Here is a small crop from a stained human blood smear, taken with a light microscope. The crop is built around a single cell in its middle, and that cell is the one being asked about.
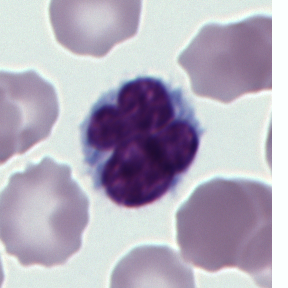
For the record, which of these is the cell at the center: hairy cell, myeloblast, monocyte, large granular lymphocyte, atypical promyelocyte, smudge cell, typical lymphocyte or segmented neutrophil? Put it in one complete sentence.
At the middle of the frame sits a hairy cell.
